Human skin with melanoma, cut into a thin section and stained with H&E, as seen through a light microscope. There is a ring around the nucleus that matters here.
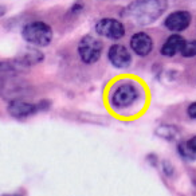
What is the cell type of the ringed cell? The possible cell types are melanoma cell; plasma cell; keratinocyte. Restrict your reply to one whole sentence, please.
The identity of the ringed cell: it is a plasma cell.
